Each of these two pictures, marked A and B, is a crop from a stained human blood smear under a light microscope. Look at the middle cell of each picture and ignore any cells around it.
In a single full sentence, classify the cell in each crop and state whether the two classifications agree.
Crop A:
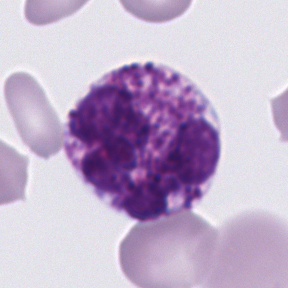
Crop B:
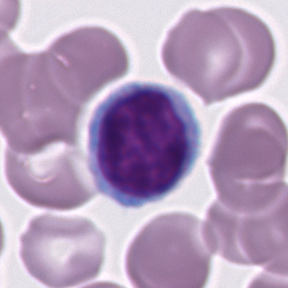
No, shown in crop A is a basophil, and shown in crop B is a typical lymphocyte.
